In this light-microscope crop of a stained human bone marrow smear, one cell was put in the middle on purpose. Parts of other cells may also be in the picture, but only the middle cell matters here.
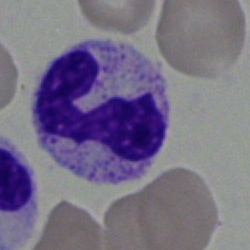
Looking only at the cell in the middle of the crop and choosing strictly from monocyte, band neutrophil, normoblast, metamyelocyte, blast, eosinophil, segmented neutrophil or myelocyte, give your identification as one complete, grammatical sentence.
Answering briefly, the cell in the middle is a band neutrophil.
